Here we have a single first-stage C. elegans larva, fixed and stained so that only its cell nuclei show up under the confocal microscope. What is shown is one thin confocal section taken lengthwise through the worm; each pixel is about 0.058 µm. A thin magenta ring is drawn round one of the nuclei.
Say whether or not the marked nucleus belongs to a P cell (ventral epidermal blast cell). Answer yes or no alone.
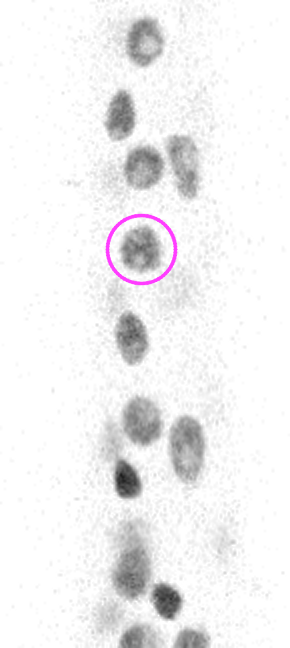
no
